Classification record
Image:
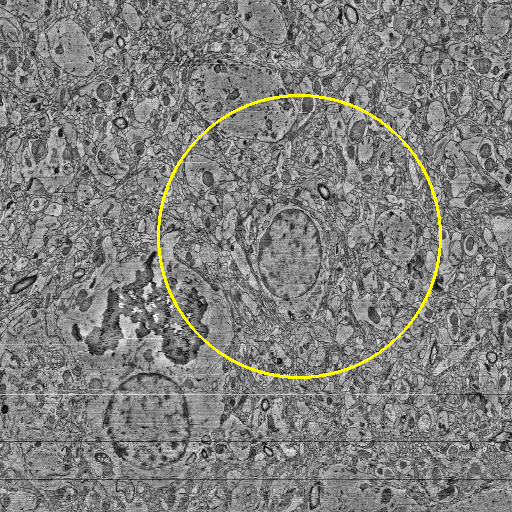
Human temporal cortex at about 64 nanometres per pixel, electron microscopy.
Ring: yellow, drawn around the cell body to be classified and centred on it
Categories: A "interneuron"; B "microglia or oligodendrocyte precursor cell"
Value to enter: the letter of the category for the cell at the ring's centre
B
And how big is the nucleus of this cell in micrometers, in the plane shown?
In this plane the nucleus measures roughly 6 by 4 micrometers.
